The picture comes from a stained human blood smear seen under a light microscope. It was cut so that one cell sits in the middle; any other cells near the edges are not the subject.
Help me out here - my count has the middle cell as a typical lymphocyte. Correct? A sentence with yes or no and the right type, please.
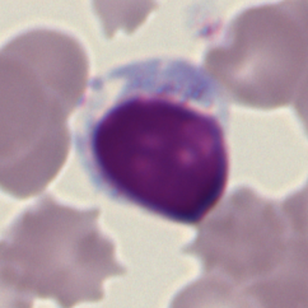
Yes, what sits in the centre of the crop is a typical lymphocyte.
